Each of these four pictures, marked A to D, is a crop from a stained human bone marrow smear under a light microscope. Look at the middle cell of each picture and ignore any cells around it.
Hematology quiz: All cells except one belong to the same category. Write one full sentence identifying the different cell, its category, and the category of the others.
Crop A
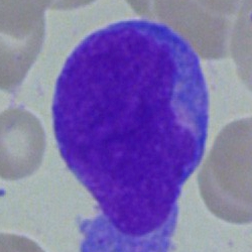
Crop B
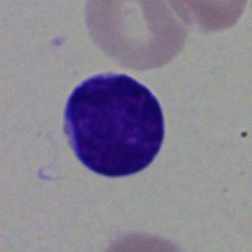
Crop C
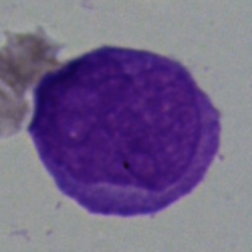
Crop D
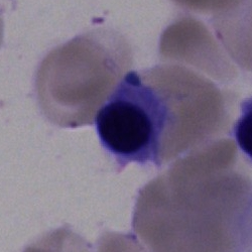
Just crop D is an erythroblast; all the other crops show blasts.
